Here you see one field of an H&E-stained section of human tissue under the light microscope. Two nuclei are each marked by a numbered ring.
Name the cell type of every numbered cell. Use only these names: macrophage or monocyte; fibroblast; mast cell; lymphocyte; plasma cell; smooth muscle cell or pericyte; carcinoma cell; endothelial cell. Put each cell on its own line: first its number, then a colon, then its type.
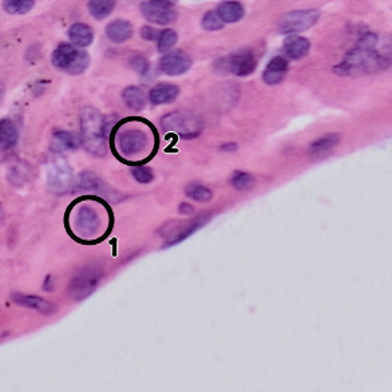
1: mast cell
2: lymphocyte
